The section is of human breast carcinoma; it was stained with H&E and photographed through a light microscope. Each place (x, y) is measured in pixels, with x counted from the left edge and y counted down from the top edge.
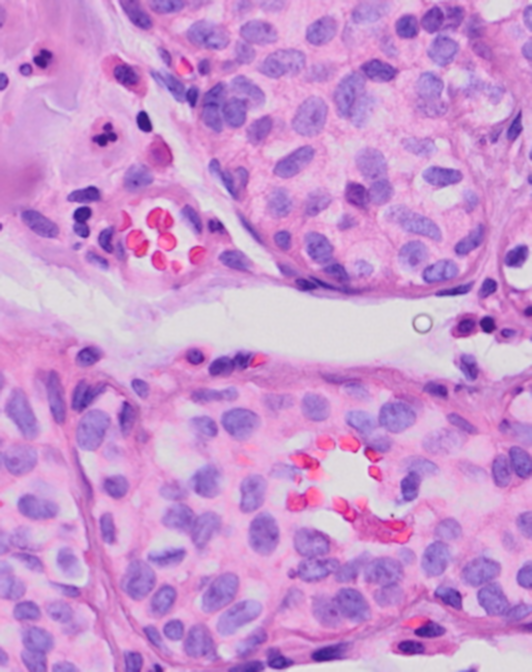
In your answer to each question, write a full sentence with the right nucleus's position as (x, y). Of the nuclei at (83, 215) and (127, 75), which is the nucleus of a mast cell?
The nucleus at (127, 75) is the one that belongs to a mast cell.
